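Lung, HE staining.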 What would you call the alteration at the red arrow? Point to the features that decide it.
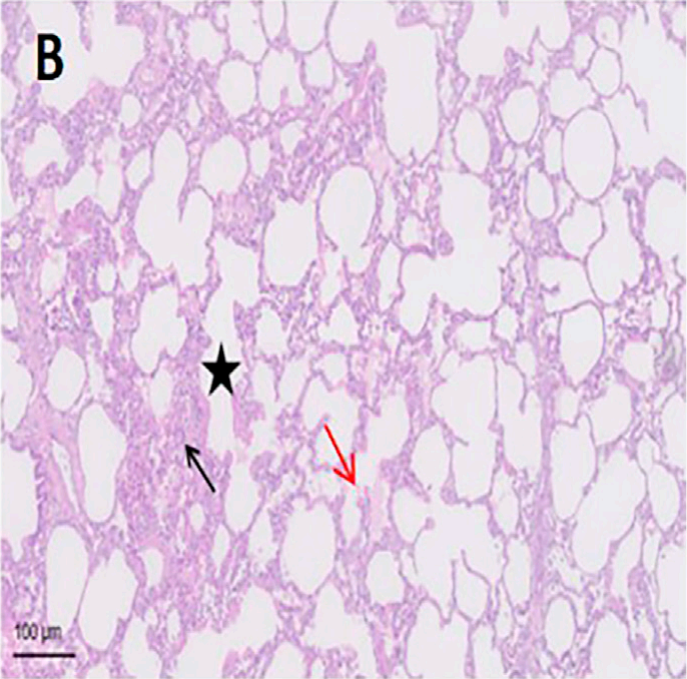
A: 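The red arrow points to pale pink, cell-poor material lying within an airspace.
Hence: protein fragments in alveoli.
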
